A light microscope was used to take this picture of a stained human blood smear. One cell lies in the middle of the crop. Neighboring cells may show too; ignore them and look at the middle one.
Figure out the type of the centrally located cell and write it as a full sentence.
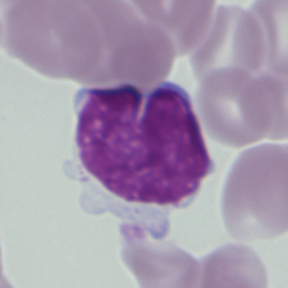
The cell in the middle of the field of view is a large granular lymphocyte.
